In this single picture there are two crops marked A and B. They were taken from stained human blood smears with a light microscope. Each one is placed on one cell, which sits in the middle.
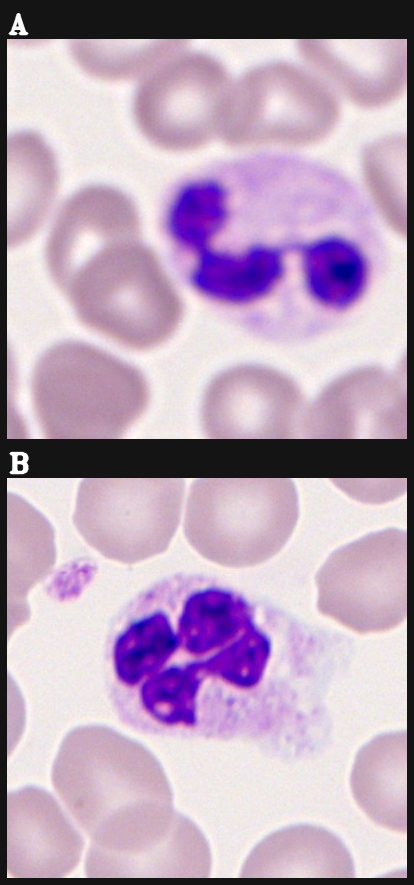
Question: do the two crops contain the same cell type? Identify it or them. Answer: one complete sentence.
Yes, the cells under consideration in both crops are segmented neutrophils.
